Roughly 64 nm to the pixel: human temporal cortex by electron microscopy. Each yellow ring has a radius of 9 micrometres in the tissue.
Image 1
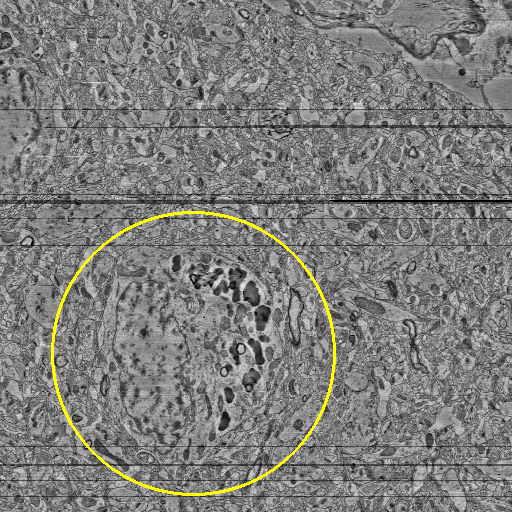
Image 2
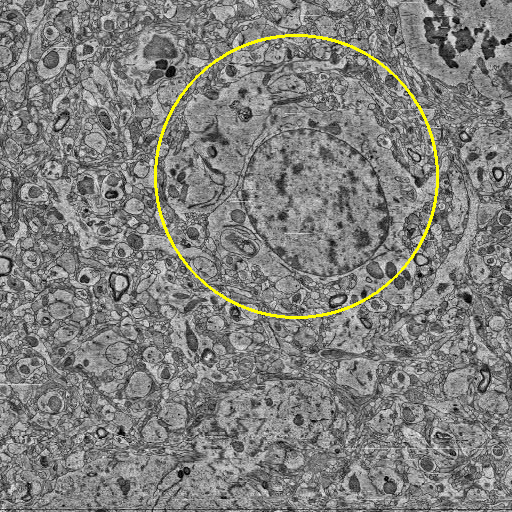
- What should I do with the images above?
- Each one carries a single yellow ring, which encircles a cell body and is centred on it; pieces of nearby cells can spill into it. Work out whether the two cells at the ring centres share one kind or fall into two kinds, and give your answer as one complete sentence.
The ring-centre cells of Image 1 and Image 2 fall into two kinds.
